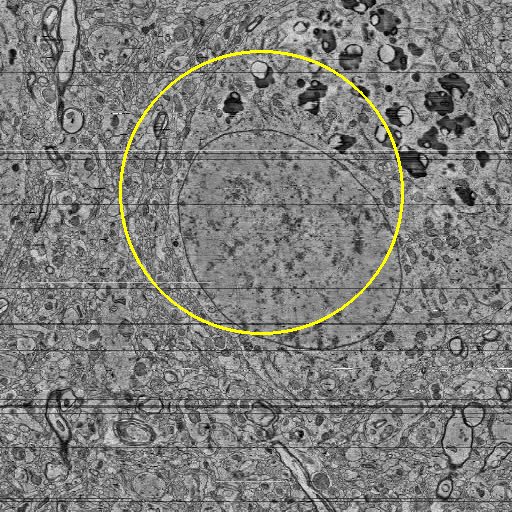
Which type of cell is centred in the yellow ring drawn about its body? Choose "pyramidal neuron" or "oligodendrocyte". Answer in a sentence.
The yellow ring surrounds the cell body of a pyramidal neuron.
